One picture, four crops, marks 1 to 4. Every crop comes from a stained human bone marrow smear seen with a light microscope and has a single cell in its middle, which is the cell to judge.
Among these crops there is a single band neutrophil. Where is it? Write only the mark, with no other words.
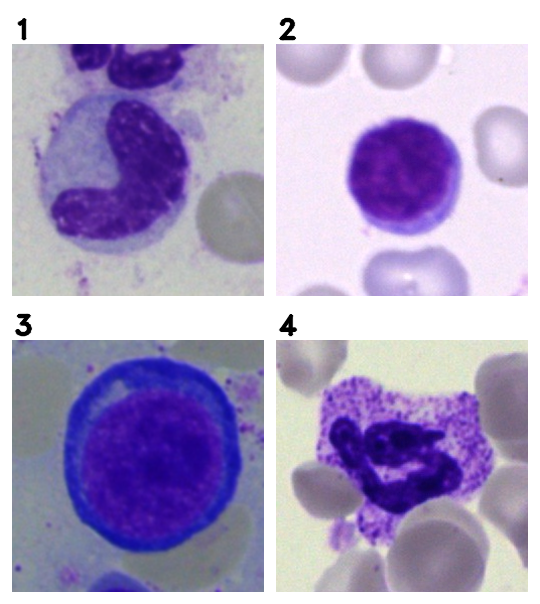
1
